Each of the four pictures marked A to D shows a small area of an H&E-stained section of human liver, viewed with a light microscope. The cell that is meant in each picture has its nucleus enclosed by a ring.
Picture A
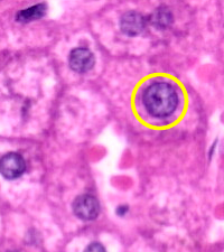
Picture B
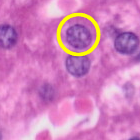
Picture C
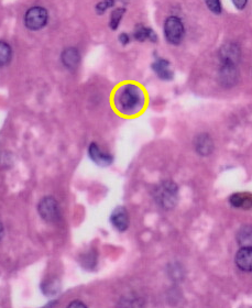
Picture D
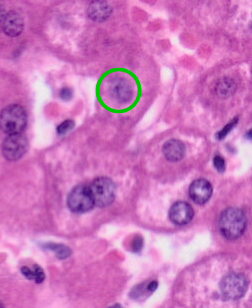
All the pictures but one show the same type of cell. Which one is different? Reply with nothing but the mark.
C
